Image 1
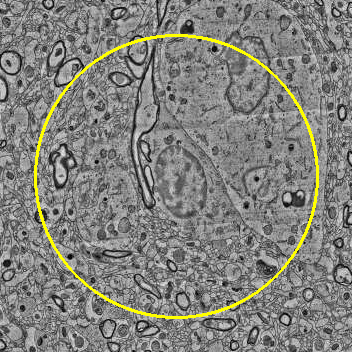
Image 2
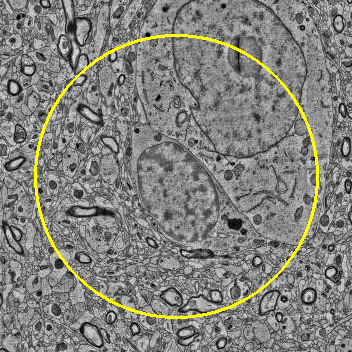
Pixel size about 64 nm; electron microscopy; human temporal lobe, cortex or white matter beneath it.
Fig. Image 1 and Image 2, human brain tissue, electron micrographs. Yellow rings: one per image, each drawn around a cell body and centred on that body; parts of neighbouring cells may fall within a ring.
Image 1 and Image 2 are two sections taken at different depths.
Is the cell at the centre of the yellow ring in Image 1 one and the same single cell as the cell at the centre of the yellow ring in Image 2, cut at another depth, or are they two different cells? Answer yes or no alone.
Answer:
yes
